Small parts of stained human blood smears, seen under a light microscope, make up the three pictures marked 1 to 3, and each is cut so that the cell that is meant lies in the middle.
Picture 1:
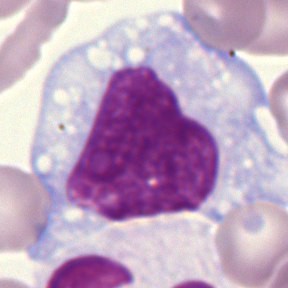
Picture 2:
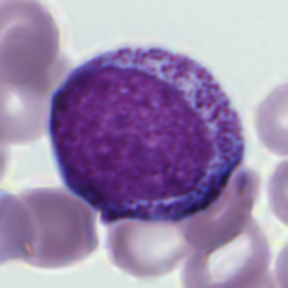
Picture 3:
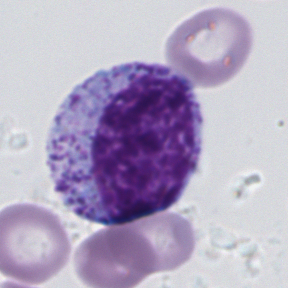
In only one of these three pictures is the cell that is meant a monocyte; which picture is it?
1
